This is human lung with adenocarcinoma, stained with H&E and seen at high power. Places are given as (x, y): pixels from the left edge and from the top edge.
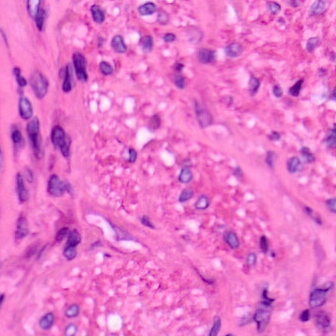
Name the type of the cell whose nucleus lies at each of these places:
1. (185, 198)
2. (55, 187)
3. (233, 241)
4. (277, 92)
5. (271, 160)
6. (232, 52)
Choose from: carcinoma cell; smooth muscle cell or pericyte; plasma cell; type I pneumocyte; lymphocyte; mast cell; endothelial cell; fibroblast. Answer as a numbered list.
1. smooth muscle cell or pericyte
2. mast cell
3. smooth muscle cell or pericyte
4. smooth muscle cell or pericyte
5. mast cell
6. smooth muscle cell or pericyte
